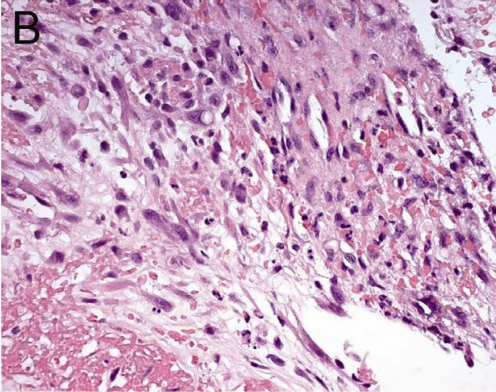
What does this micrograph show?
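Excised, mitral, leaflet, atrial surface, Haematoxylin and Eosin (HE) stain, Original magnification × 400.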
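Valve tissue at the base of a vegetation, densely packed with inflammatory cells and plump spindle-shaped cells. Numerous small, dark purple nuclei, some round and some lobed, crowd the field, mixed with elongated oval nuclei of spindle cells. Toward the lower left the tissue merges into pink, granular material with red blood cells. The background stroma is loose and pale pink in places, and the cellular zone ends at a free edge at the right.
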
